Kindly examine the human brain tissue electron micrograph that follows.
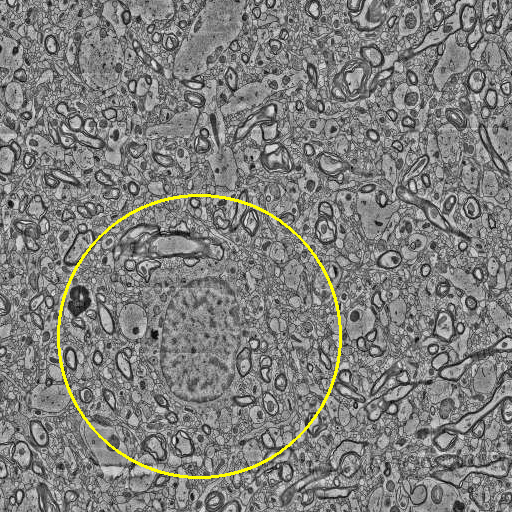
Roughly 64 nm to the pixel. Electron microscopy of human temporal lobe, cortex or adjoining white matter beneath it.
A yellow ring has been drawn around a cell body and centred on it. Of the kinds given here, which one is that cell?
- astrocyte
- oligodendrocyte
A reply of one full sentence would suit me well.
The micrograph's ringed cell, the one at the ring's centre, is an oligodendrocyte.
